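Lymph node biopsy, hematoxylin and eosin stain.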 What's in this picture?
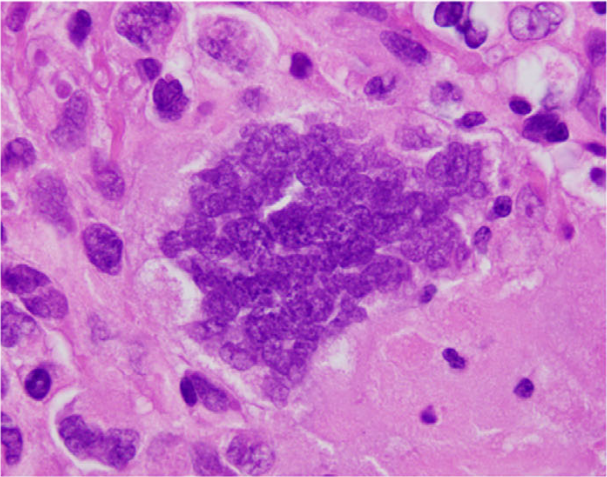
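High-power view of a multinucleated giant tumor cell with a large aggregate of many crowded, dark purple nuclei occupying most of the cell. It lies in pink eosinophilic material surrounded by smaller pleomorphic cells with single enlarged, irregular nuclei.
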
